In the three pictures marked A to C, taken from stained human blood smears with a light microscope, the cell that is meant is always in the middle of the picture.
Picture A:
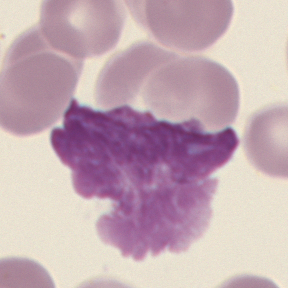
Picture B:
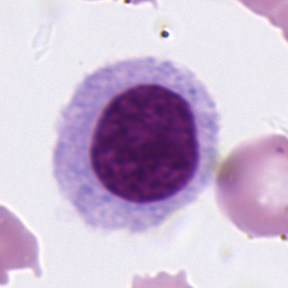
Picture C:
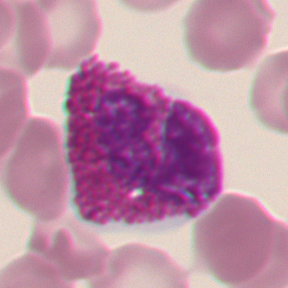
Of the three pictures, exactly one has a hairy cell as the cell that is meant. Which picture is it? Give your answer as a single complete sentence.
The cell in picture B is the hairy cell.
